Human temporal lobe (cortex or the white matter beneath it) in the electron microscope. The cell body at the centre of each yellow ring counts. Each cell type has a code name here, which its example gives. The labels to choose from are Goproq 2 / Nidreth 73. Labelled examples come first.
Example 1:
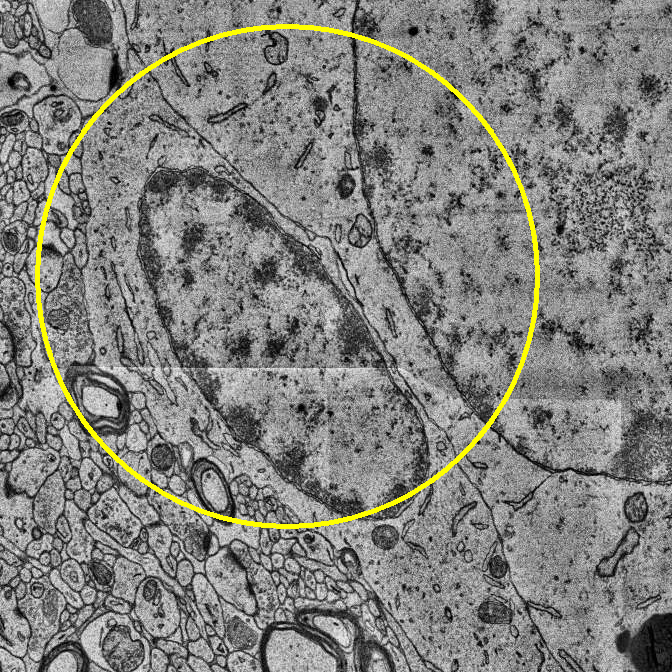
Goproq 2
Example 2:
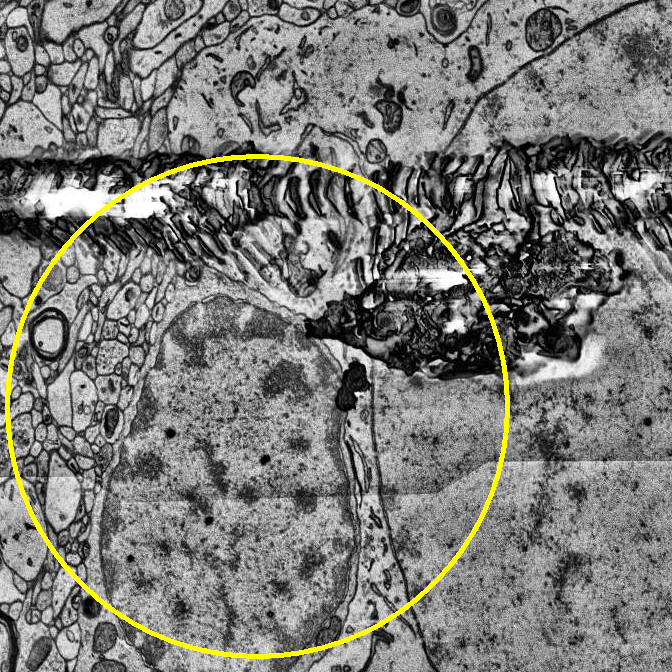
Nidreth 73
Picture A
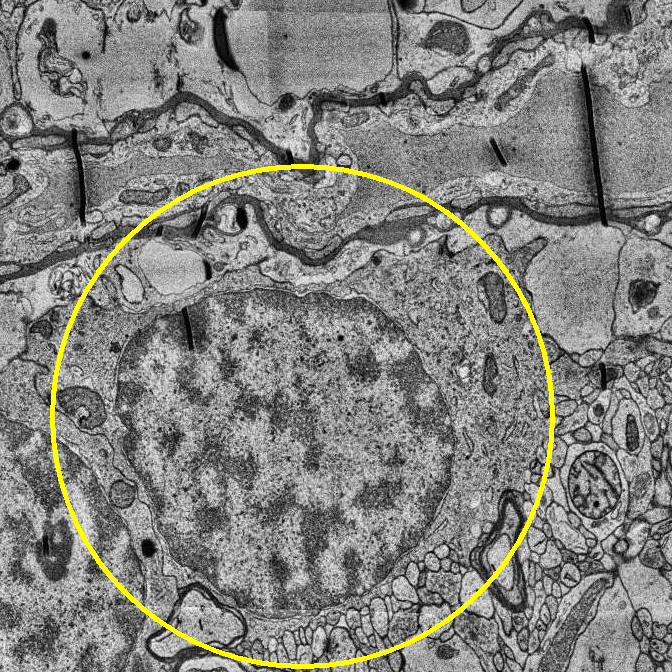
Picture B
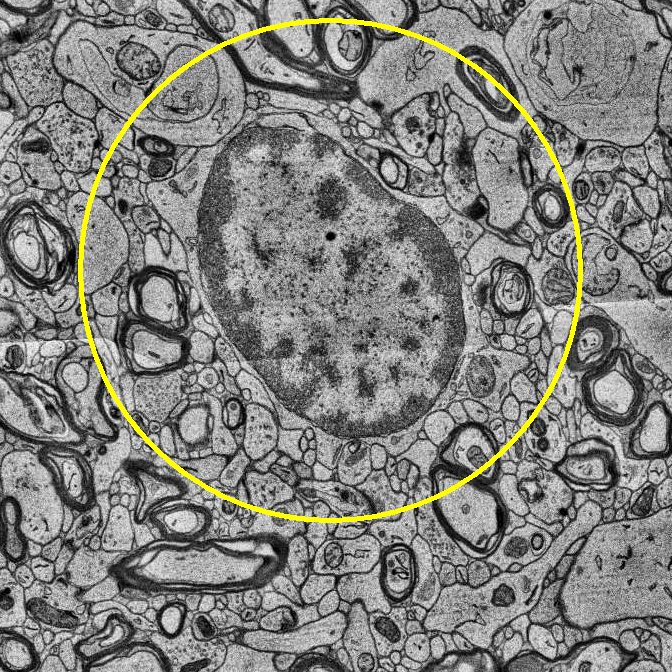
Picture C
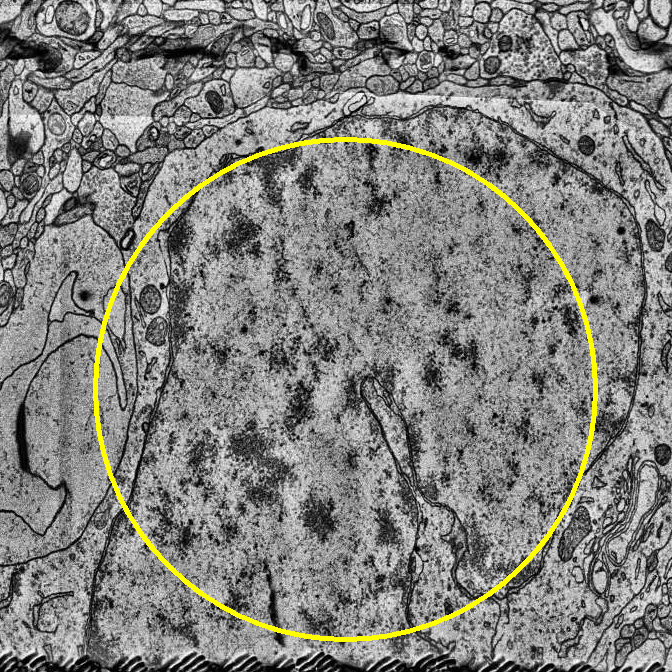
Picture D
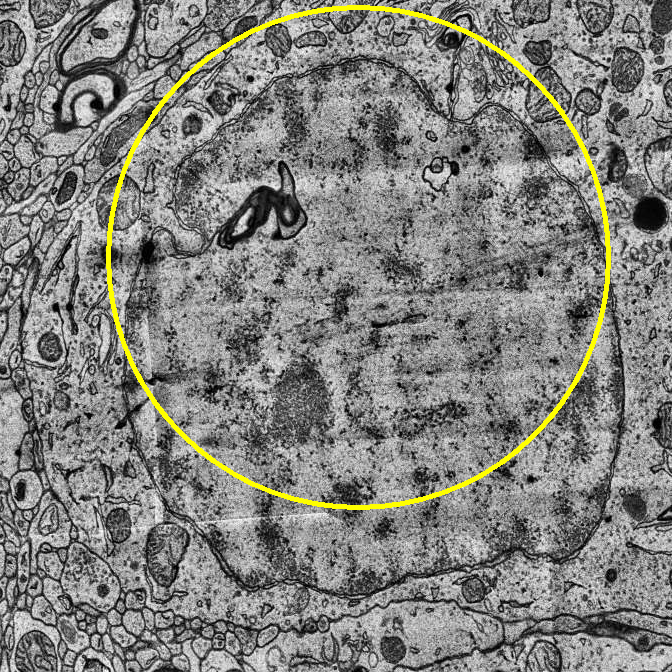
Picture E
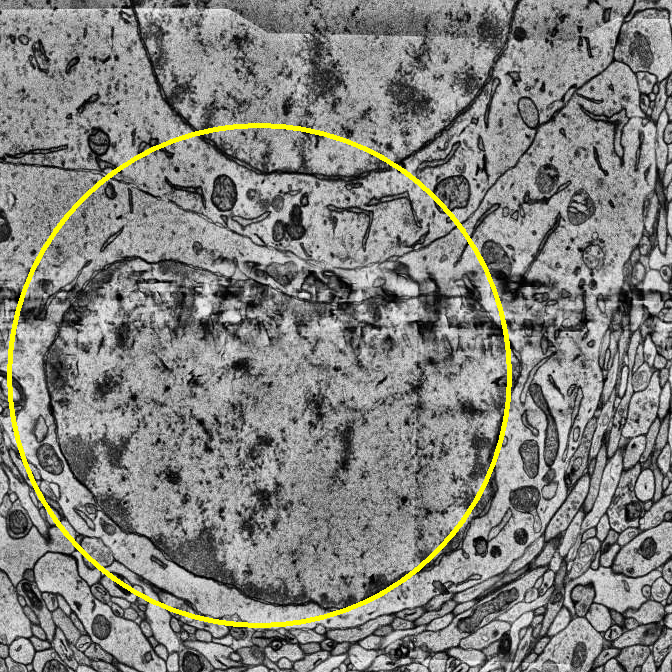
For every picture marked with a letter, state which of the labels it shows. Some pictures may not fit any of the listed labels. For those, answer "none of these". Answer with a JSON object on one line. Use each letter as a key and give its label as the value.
{"A": "Nidreth 73", "B": "Goproq 2", "C": "none of these", "D": "none of these", "E": "Goproq 2"}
